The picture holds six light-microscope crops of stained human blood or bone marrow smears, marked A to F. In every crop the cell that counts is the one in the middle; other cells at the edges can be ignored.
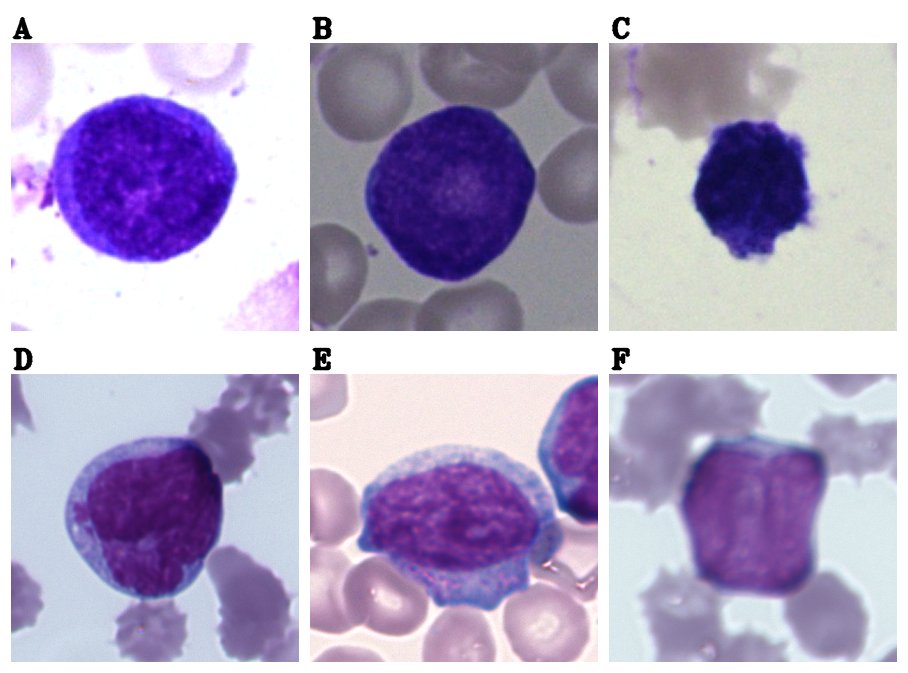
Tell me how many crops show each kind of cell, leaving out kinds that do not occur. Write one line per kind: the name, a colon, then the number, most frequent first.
blast: 5
promyelocyte: 1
